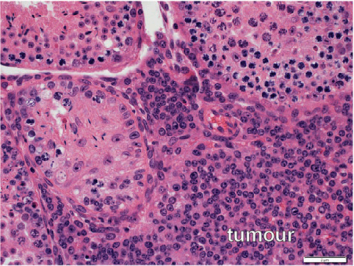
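Here is testis tissue where a broad sheet of crowded cells with dark purple, rounded nuclei spreads across the lower part of the field, between tubule profiles rather than inside one. The sheet has no rounded border and no lumen. Around it lie tubules that still keep an orderly lining of cells with paler nuclei and pink cytoplasm; one tubule, at left centre, is small and pale with loosely arranged cells. Thin strands of pink connective tissue run between the structures. The main point to see is that the densely packed cells occupy the interstitial space instead of staying confined within a tubule.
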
